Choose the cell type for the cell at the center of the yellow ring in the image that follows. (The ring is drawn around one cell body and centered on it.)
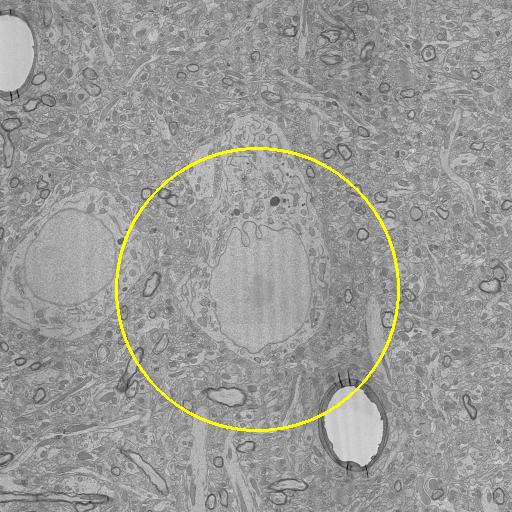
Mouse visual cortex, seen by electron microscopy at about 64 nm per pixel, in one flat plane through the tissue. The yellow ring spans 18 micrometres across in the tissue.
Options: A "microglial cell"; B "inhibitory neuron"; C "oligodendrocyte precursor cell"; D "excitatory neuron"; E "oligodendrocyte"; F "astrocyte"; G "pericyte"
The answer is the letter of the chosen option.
B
